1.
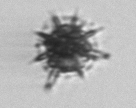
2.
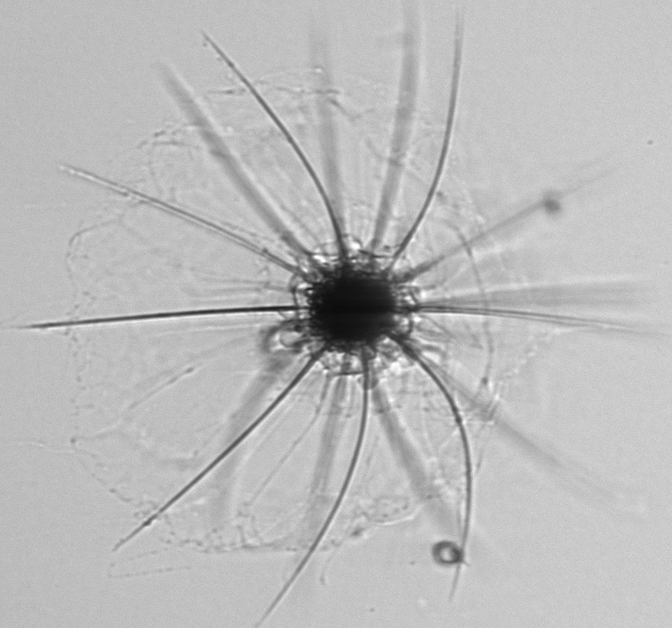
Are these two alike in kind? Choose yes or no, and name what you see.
Yes. Radiolarians.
